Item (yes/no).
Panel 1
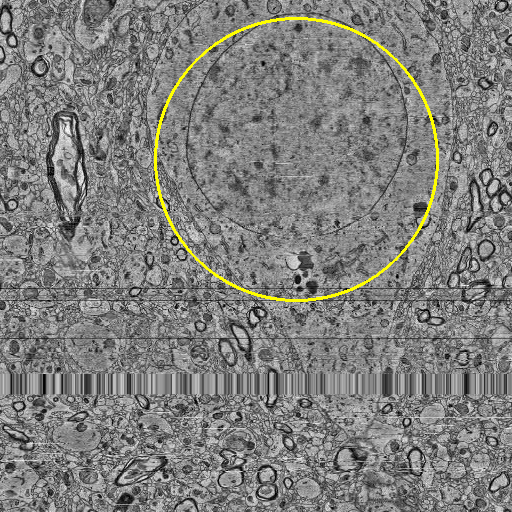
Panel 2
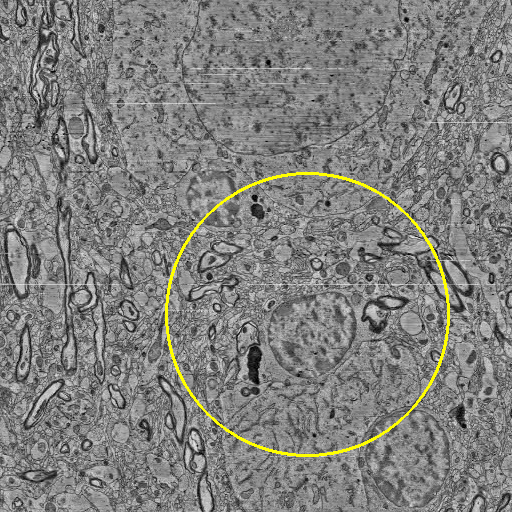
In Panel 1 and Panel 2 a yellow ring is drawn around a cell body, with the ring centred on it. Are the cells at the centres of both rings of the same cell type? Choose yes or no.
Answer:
no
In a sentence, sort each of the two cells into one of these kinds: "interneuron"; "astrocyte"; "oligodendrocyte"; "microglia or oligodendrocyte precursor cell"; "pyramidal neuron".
The first of the two cells is a pyramidal neuron, and the second is a microglial cell or oligodendrocyte precursor cell.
